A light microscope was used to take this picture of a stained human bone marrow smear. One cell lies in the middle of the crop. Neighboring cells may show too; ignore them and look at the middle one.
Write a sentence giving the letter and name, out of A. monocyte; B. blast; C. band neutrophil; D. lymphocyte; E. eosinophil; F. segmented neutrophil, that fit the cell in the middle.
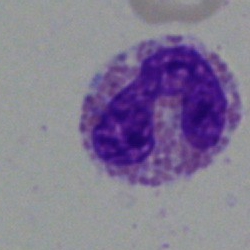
Option E is accurate; the centrally placed cell is an eosinophil.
